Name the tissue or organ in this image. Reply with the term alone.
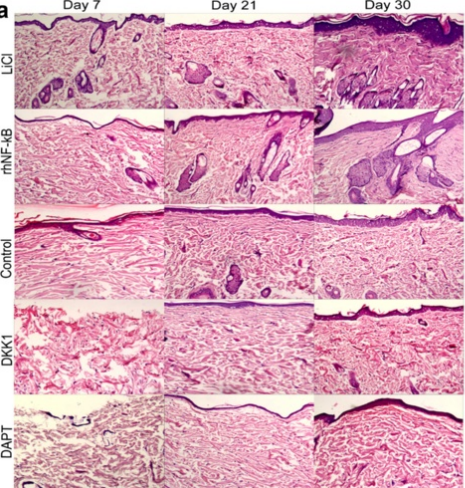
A: skin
